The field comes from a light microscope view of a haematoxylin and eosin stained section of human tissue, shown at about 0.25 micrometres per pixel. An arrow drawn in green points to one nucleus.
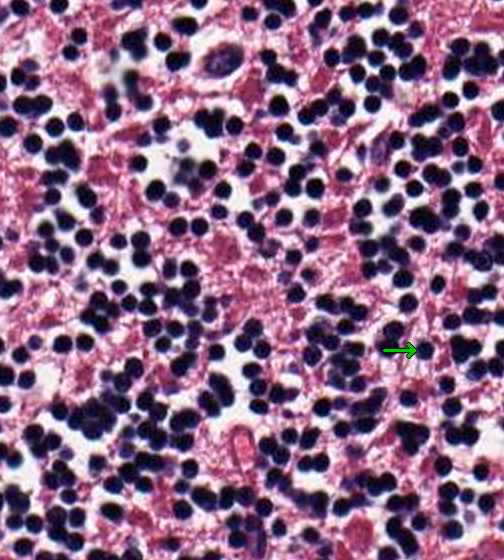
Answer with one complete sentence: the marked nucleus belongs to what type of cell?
In this section, the marked nucleus is that of a cerebellar granule cell.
